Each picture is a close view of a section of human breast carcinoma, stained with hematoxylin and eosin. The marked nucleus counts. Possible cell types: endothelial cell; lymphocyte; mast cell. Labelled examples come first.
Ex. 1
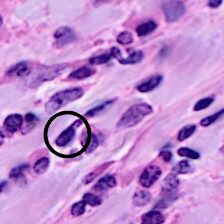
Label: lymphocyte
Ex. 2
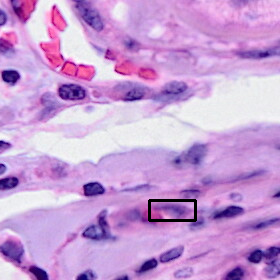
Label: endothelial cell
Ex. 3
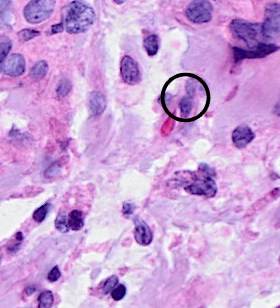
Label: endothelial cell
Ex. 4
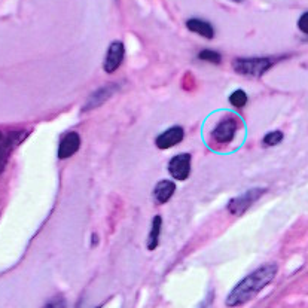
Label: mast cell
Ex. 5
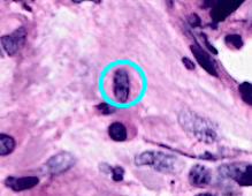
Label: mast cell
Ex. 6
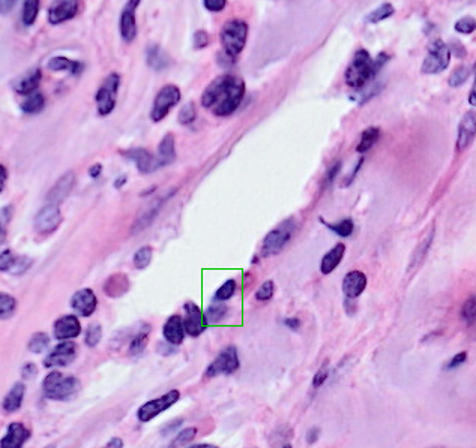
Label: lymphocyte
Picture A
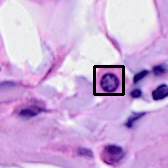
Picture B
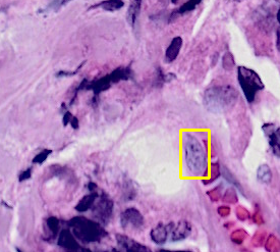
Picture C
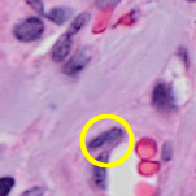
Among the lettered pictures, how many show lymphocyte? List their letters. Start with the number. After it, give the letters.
0, none of them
